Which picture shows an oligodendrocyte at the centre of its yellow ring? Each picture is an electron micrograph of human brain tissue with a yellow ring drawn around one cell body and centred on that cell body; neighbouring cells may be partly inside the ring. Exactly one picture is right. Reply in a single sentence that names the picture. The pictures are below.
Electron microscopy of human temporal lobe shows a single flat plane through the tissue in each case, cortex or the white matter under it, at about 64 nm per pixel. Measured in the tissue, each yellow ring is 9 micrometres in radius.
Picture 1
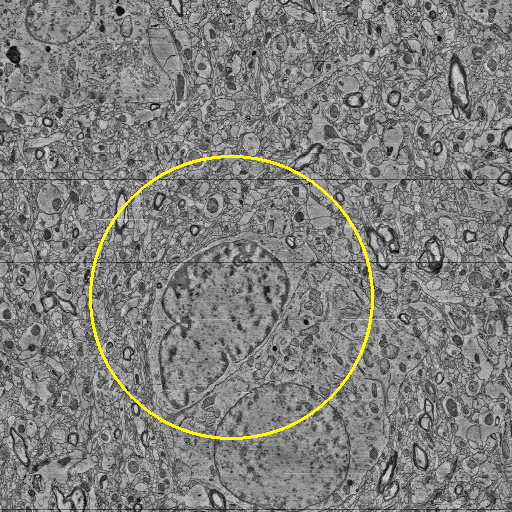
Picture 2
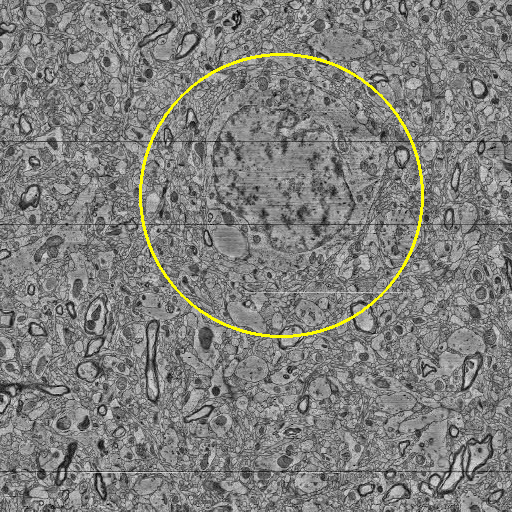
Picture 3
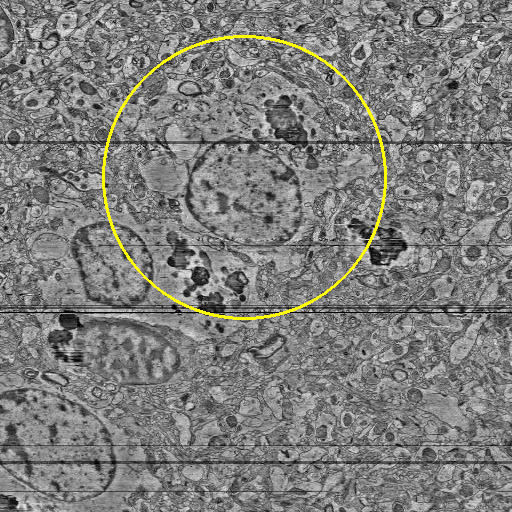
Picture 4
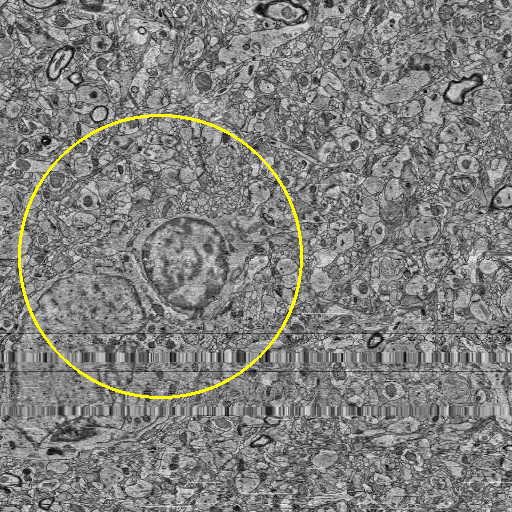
Picture 4 shows it.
